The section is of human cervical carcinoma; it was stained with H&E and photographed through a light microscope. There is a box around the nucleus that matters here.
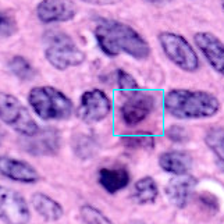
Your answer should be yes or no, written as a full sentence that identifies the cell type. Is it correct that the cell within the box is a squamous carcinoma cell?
Yes, the cell within the box has been identified as a squamous carcinoma cell.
